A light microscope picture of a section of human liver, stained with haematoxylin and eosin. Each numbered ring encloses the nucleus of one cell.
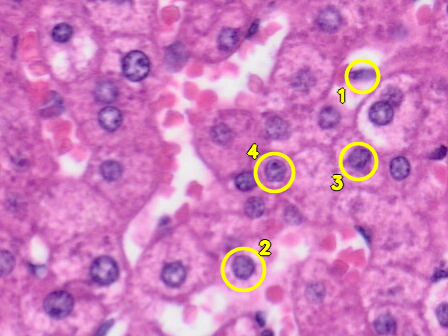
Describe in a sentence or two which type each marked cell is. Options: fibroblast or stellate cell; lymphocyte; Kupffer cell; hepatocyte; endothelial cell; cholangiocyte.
Cell 1 is a Kupffer cell. Cells 2, 3 and 4 are hepatocytes.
